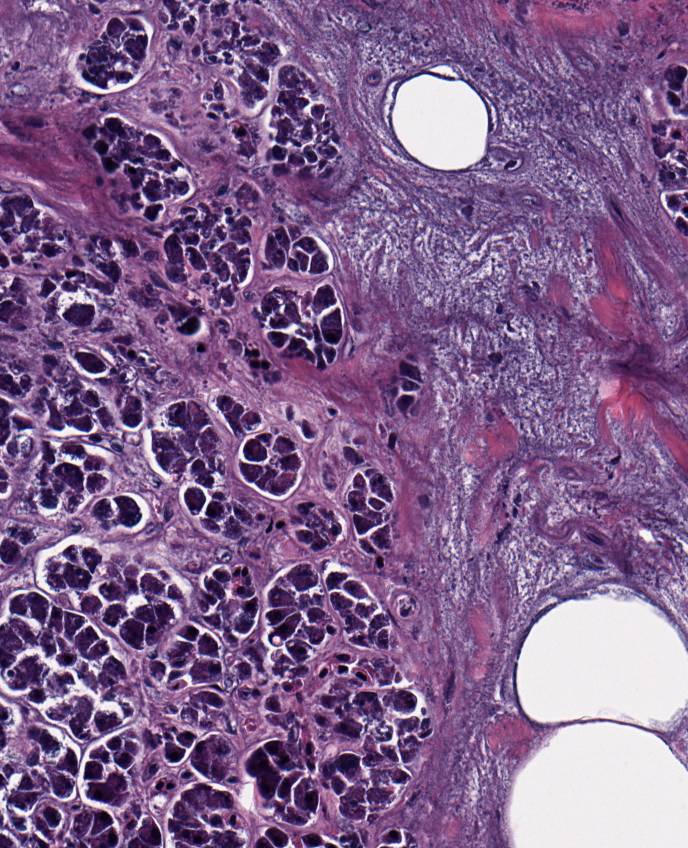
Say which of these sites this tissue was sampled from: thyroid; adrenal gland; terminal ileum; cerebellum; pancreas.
pancreas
